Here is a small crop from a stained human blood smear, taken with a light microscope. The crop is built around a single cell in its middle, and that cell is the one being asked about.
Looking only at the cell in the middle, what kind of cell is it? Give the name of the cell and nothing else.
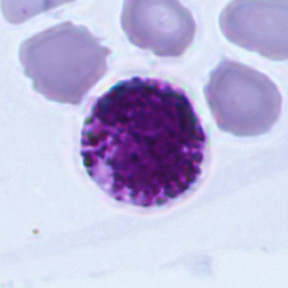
basophil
